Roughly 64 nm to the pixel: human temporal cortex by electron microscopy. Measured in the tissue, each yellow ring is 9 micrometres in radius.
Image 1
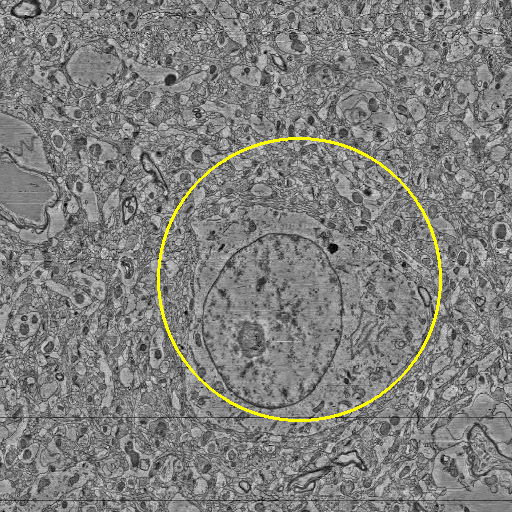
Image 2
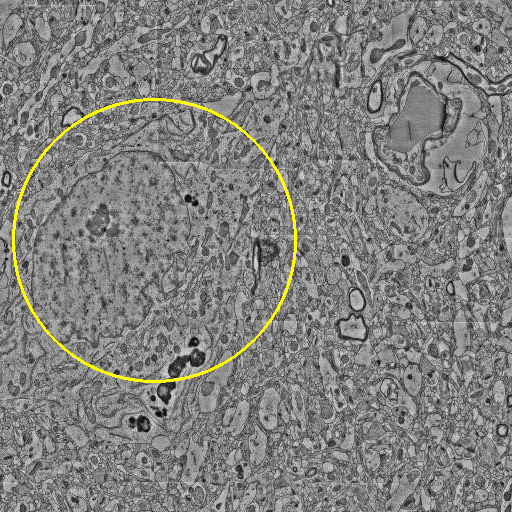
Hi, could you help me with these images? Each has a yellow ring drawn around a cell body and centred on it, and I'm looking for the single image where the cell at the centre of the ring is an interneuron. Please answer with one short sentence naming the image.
It is Image 2 that has it at the centre of its ring.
